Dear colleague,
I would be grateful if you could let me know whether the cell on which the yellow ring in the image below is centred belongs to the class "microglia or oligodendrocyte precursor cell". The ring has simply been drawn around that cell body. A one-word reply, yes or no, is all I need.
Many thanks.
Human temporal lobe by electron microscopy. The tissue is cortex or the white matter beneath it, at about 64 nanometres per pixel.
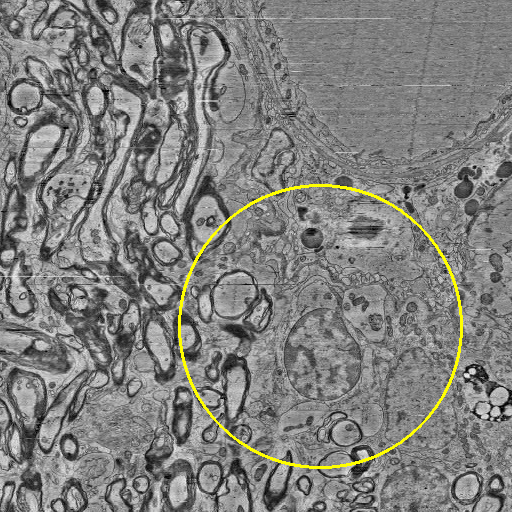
yes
